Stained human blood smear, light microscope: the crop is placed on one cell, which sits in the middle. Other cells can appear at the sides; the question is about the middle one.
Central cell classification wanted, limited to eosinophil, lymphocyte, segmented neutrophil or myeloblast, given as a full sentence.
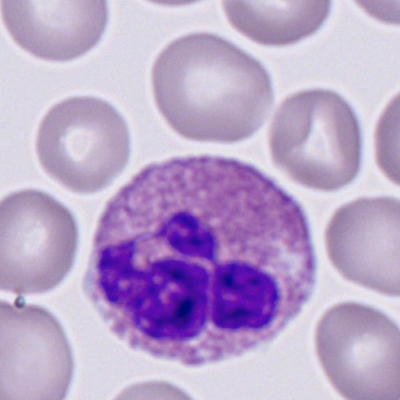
Where the crop is centred, there is an eosinophil.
